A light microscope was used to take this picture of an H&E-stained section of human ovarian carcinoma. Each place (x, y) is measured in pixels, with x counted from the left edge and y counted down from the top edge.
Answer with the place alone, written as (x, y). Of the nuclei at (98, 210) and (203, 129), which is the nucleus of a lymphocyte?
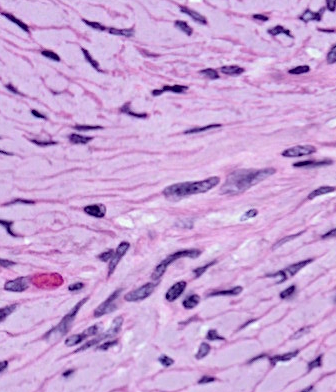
(98, 210)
